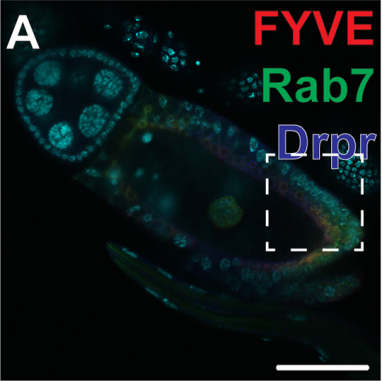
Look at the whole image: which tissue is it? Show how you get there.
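An oval chamber bounded by a single layer of small epithelial cells. A smaller chamber at one end holds large round nuclei.
Hence: egg chamber.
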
